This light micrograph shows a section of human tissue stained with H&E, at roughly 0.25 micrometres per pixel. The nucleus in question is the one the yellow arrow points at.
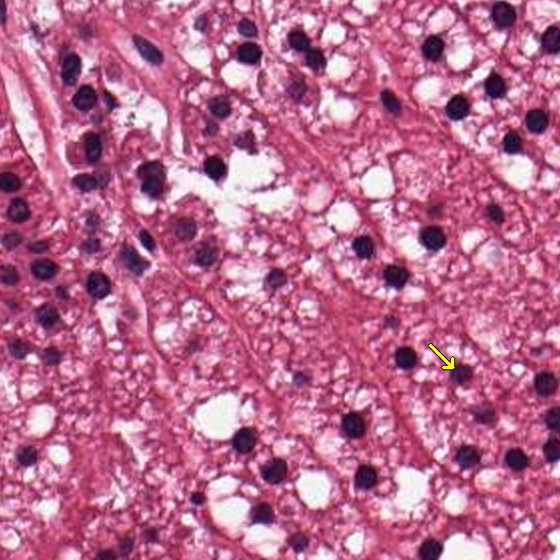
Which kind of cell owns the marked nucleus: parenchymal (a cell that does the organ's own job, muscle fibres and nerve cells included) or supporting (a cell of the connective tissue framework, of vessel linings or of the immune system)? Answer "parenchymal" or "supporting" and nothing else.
parenchymal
